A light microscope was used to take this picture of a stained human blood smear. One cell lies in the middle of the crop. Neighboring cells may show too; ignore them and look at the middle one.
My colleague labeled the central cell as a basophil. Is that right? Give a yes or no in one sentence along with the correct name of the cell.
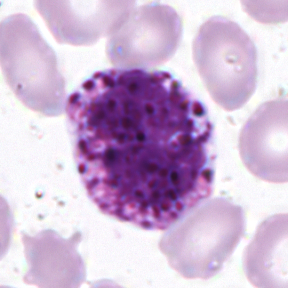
Yes, the middle of the crop is occupied by a basophil.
